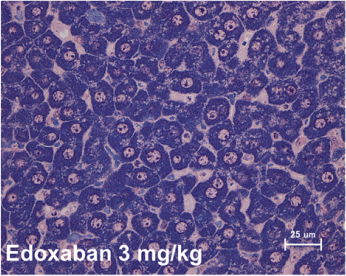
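This high-power view of liver shows closely packed polygonal hepatocytes arranged in cords with thin sinusoids between them. Each hepatocyte has a round central nucleus with a visible nucleolus, and some cells appear to hold two nuclei. The cytoplasm stains blue-purple and is finely granular, and the cell borders are sharp. The sinusoids appear as pale, narrow spaces between the cords. No dark strand-like deposits are evident within these spaces.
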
